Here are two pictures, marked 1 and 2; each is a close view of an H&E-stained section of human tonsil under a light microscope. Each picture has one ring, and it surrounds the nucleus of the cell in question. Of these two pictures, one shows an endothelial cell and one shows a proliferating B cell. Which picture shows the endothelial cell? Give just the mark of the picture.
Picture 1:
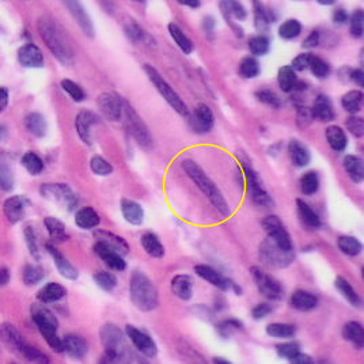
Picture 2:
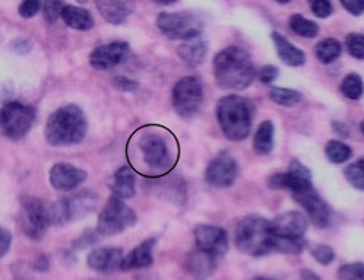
1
